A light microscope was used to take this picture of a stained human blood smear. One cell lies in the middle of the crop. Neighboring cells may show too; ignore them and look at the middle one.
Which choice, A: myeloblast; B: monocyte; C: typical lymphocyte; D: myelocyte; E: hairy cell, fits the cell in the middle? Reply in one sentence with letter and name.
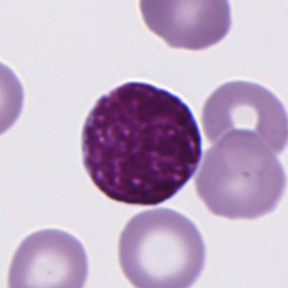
The one cell at the centre is a myeloblast, as correctly stated in option A.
